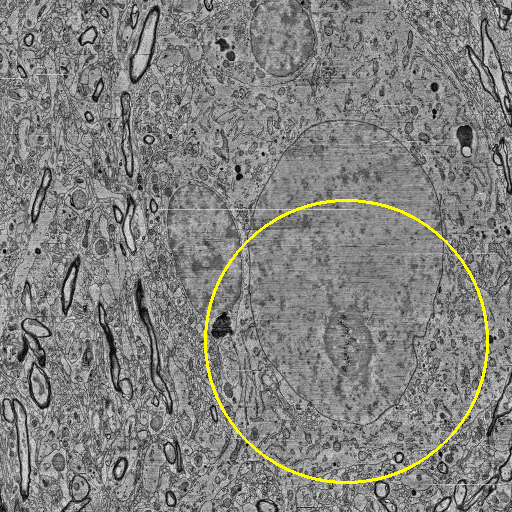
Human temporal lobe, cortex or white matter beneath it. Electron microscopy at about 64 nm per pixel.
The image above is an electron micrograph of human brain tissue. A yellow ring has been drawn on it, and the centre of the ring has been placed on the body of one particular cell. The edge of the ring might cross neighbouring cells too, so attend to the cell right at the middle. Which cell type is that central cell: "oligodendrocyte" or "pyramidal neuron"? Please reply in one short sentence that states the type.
The central cell in the ring is a pyramidal neuron.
